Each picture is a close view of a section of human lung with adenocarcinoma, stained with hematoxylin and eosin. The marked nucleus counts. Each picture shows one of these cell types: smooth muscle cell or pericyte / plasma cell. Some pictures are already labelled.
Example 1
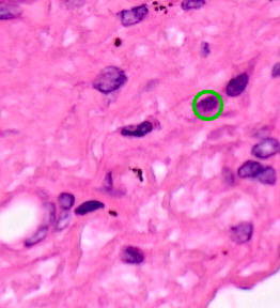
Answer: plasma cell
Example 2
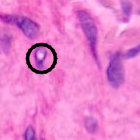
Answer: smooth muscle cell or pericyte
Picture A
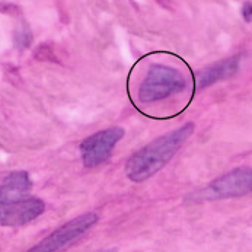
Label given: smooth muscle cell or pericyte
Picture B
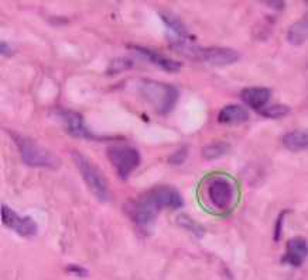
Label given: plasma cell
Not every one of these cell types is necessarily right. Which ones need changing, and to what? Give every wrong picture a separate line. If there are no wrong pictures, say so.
Every label is right.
